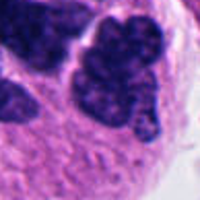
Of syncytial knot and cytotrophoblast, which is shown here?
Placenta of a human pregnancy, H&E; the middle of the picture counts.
syncytial knot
